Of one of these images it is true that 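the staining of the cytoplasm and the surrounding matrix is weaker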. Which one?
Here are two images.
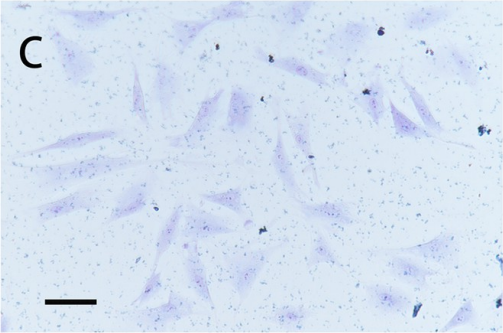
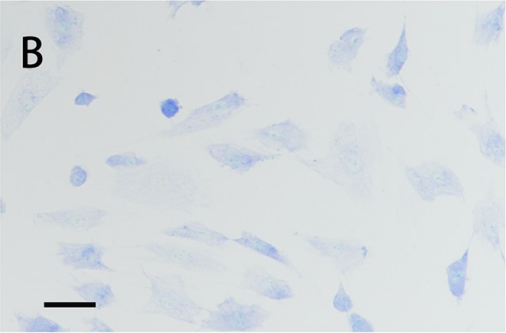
The second image.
